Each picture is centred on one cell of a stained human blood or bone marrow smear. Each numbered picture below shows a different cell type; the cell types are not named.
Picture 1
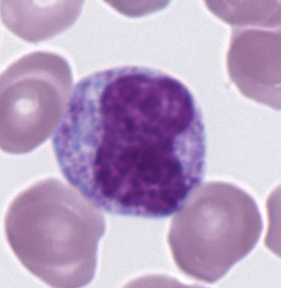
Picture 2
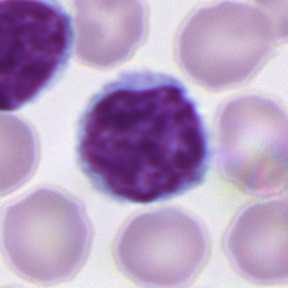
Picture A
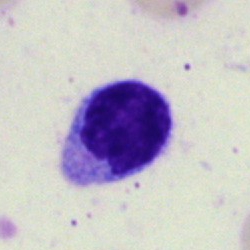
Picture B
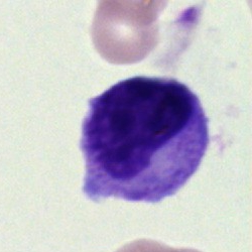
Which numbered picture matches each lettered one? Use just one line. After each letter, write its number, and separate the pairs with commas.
A 2, B 1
